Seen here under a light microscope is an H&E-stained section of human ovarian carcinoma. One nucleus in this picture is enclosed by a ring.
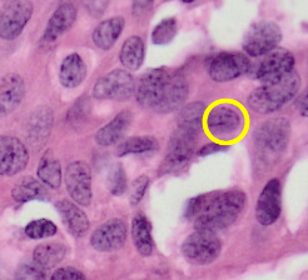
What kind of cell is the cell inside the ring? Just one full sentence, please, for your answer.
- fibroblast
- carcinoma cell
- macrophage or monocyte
In this preparation, the cell inside the ring is a carcinoma cell.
